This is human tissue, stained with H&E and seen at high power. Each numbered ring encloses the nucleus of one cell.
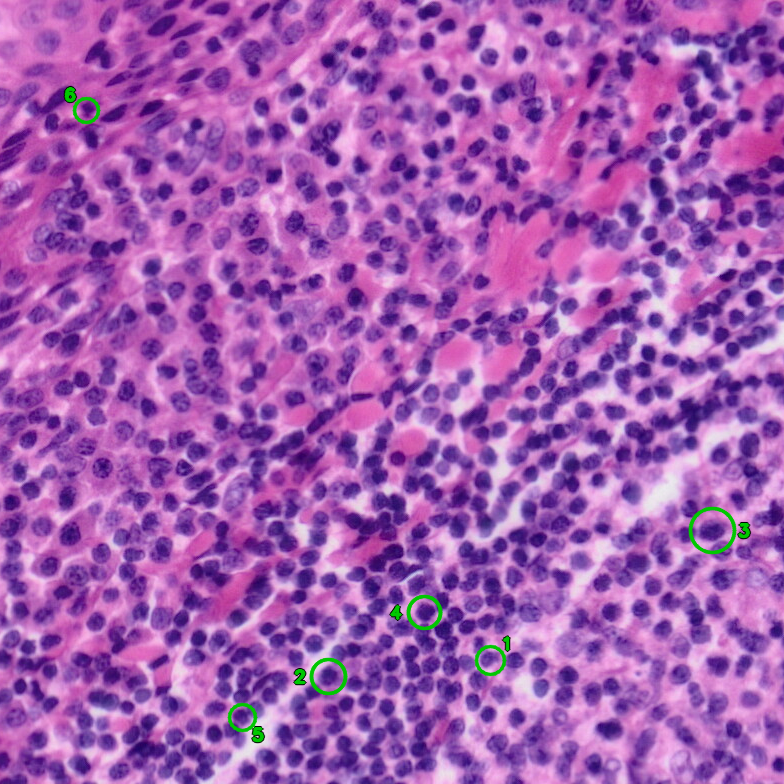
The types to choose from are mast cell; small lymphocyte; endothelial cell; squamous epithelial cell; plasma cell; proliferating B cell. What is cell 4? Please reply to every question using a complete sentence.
Cell 4 should be recorded as a small lymphocyte.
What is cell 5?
The marked cell bearing number 5 is a small lymphocyte.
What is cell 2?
The cell numbered 2 represents a small lymphocyte.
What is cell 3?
The cell numbered 3 has been identified as a proliferating B cell.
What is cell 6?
The cell to which the number 6 is assigned is a squamous epithelial cell.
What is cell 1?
The numeral 1 marks a small lymphocyte in this section.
